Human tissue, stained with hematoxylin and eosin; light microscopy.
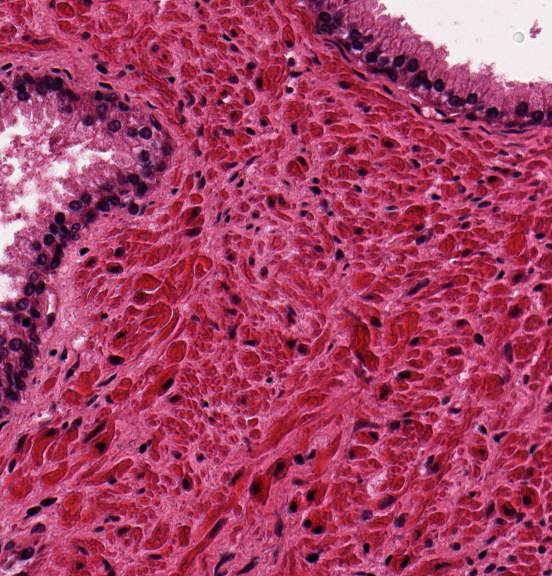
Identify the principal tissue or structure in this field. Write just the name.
fibromuscular stroma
